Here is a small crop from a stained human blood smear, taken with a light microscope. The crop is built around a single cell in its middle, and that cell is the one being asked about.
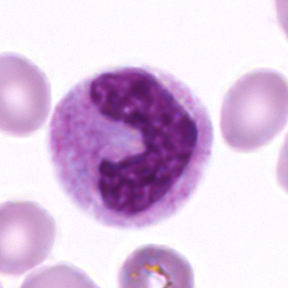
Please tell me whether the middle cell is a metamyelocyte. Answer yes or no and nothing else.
no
